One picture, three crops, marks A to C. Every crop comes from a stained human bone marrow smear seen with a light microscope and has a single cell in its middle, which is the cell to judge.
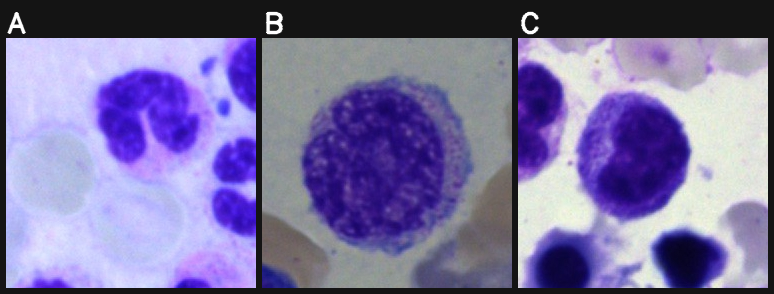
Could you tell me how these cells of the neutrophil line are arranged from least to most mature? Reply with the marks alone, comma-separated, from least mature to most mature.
B, C, A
